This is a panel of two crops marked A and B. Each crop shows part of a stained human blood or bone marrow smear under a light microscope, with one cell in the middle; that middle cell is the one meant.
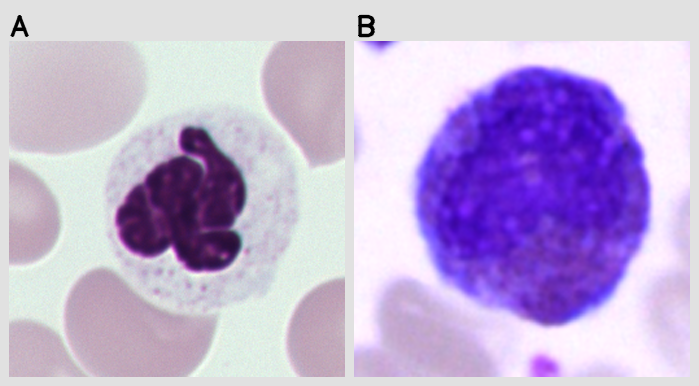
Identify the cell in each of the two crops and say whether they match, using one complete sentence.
No, crop A depicts a segmented neutrophil, and crop B depicts an eosinophil.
